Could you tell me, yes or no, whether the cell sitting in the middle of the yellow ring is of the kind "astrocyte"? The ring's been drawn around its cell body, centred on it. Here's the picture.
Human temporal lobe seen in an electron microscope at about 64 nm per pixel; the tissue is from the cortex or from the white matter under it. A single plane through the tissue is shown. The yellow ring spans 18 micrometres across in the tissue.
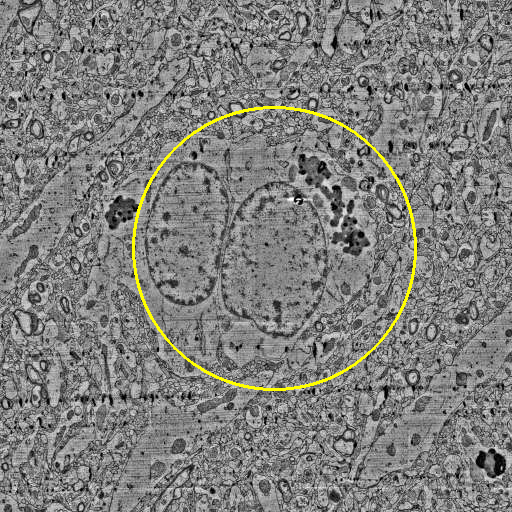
Yes, it is.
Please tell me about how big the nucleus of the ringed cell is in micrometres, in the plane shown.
Approximately 10 micrometres long and 7 micrometres wide, in this plane.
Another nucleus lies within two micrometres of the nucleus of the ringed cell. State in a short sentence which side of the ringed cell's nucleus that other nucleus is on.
That nucleus lies to the upper left of it.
